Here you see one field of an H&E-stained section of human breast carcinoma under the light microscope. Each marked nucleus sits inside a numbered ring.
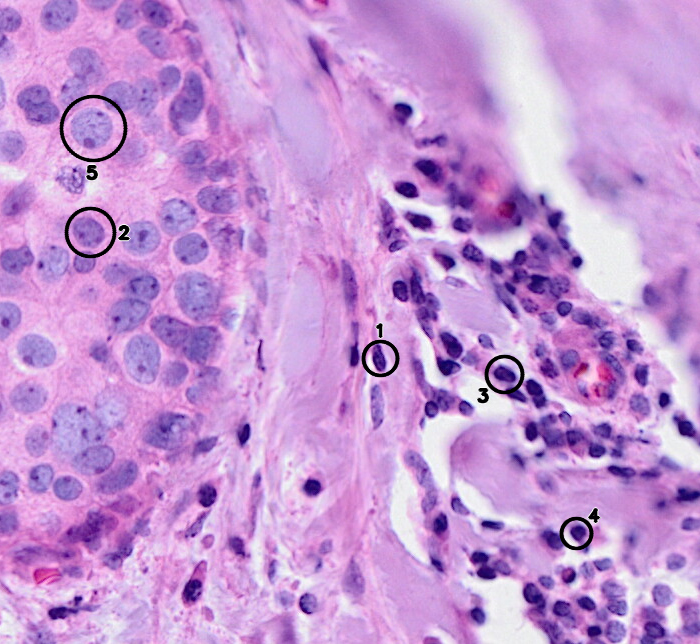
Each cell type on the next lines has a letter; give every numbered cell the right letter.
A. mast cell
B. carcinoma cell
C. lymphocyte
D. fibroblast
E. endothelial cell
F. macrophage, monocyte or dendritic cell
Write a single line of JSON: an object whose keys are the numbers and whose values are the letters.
{"1": "C", "2": "B", "3": "C", "4": "C", "5": "B"}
